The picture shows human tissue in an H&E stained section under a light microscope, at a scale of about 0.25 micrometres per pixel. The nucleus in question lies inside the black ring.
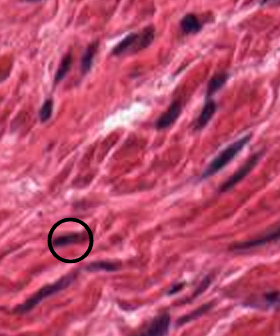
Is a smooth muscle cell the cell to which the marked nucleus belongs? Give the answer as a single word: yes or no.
yes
